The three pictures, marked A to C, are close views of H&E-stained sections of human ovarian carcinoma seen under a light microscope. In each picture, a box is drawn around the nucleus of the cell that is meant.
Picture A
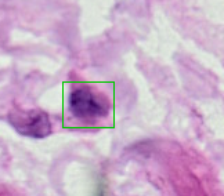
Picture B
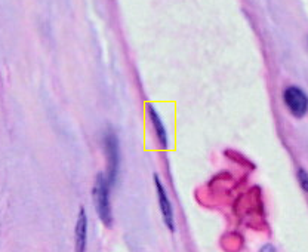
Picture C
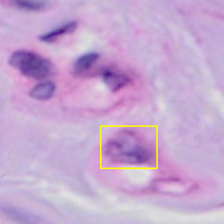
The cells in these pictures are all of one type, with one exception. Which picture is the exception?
A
